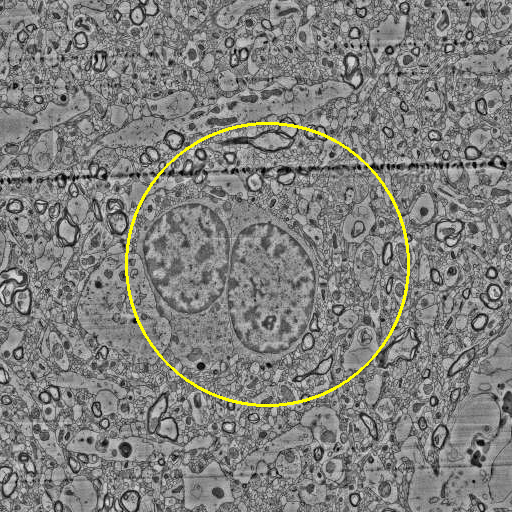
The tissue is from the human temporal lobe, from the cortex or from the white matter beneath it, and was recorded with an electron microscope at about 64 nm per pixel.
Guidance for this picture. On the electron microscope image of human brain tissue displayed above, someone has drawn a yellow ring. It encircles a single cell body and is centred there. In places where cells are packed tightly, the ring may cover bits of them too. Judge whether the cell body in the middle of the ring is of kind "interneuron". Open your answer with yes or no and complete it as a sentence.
No, another kind matches the cell whose body lies at the ring's centre in the image above.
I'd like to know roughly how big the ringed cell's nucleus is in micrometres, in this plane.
The nucleus comes to roughly 8 by 6 micrometres in this plane.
